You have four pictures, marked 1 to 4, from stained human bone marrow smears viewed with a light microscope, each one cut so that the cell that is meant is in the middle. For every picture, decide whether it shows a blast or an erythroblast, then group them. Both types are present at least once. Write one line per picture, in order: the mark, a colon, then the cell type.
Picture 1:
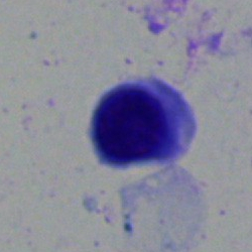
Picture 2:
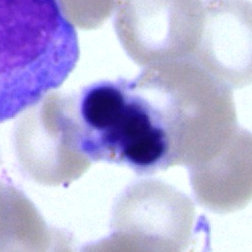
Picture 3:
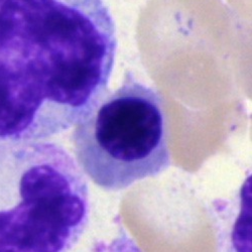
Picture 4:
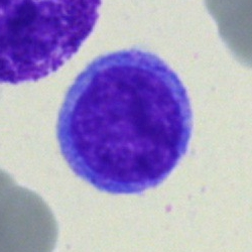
1: erythroblast
2: erythroblast
3: erythroblast
4: blast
